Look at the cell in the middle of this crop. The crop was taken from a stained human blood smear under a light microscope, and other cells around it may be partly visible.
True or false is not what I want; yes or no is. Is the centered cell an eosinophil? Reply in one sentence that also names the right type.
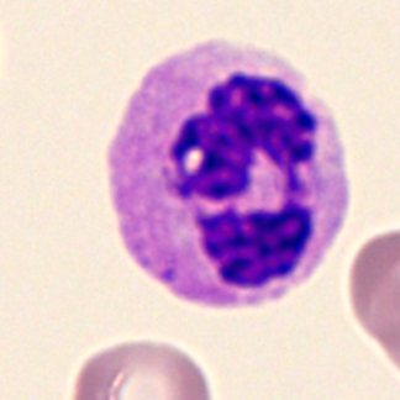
No, the cell in the centre is to be called a neutrophil instead of an eosinophil.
